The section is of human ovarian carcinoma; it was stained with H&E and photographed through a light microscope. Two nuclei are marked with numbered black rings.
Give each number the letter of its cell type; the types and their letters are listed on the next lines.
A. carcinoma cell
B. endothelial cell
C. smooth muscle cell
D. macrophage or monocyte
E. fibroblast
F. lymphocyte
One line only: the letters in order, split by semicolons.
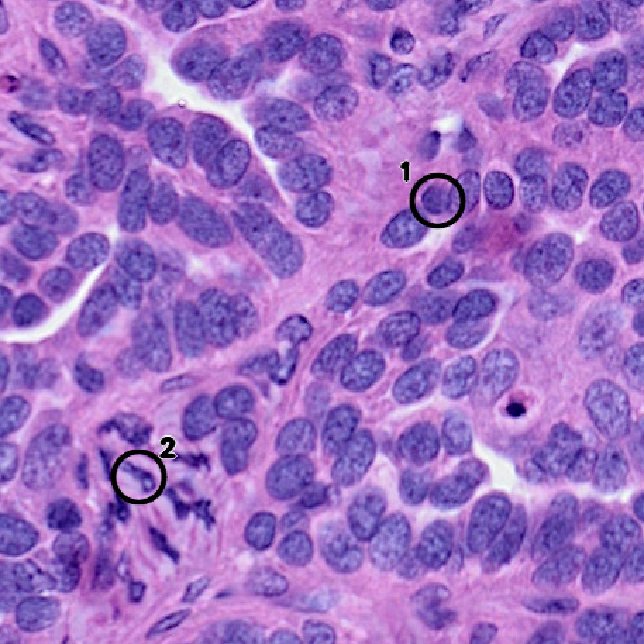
A; E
